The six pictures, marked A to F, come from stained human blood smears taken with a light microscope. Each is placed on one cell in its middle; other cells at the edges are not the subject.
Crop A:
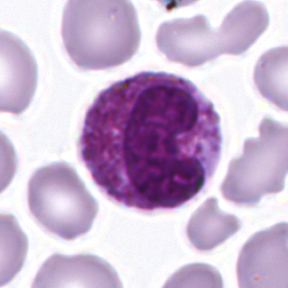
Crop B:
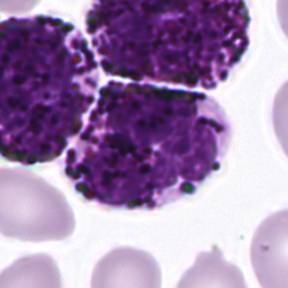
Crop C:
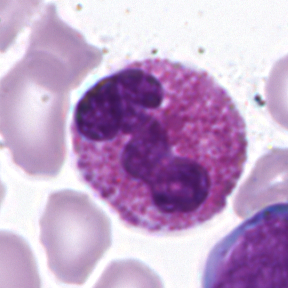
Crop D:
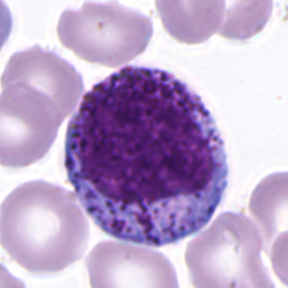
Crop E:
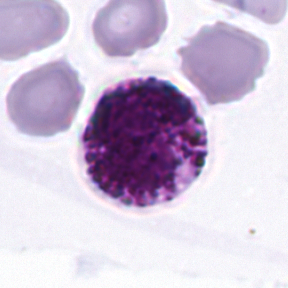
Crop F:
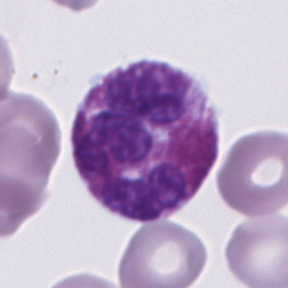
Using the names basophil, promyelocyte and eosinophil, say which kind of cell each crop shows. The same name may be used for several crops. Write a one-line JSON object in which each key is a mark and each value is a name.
{"A": "eosinophil", "B": "basophil", "C": "eosinophil", "D": "promyelocyte", "E": "basophil", "F": "eosinophil"}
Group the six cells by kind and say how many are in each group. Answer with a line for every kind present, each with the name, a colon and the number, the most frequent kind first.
eosinophil: 3
basophil: 2
promyelocyte: 1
